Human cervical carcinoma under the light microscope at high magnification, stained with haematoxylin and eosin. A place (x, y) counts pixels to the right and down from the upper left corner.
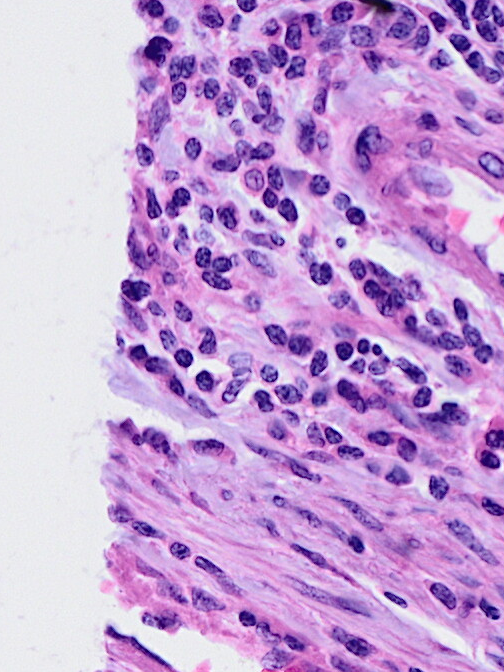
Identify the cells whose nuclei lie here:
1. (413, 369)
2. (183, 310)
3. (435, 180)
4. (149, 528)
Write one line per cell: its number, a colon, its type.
1: lymphocyte
2: lymphocyte
3: endothelial cell
4: lymphocyte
